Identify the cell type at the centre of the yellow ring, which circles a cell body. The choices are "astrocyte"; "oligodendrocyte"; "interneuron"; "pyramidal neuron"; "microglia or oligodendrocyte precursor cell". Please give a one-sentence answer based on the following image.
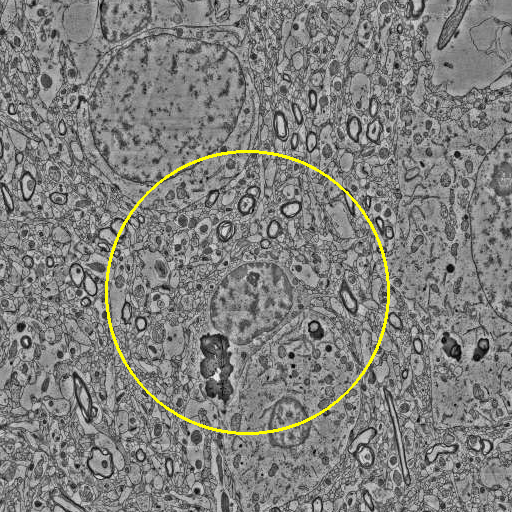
The cell marked by the ring is an oligodendrocyte.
